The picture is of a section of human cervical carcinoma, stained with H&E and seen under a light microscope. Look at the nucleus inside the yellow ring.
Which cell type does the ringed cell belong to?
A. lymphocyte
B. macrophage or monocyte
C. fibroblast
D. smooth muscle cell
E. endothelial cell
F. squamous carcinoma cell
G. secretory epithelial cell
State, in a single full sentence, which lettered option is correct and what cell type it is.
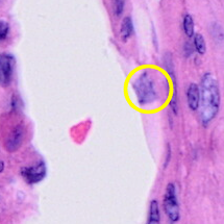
Of the options offered, F is correct, as the ringed cell is a squamous carcinoma cell.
